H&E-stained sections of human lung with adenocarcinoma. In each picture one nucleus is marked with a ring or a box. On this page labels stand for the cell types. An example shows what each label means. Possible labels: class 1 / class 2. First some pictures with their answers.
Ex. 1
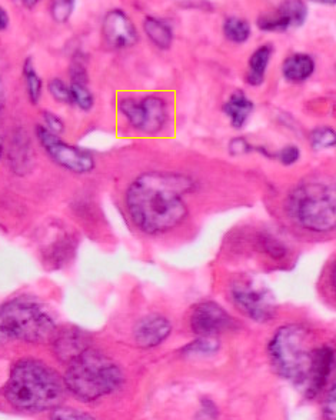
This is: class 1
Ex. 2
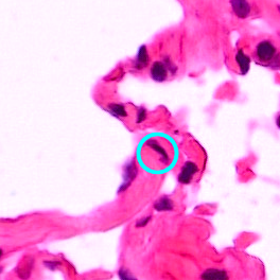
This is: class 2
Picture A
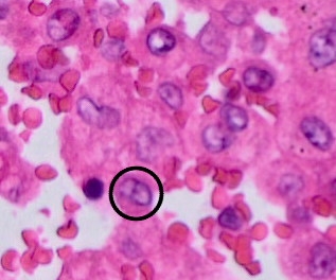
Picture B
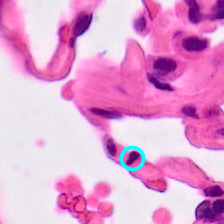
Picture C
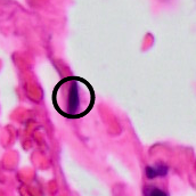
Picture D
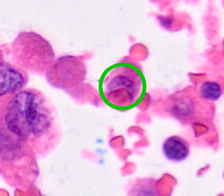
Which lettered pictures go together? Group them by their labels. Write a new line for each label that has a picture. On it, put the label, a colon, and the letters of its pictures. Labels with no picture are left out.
class 1: A, D
class 2: B, C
